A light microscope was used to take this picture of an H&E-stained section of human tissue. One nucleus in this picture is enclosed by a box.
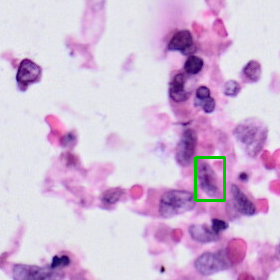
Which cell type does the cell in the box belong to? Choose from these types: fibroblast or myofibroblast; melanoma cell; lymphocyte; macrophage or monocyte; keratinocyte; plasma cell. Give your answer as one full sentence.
In this tissue section, the cell in the box is to be classed as a melanoma cell.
